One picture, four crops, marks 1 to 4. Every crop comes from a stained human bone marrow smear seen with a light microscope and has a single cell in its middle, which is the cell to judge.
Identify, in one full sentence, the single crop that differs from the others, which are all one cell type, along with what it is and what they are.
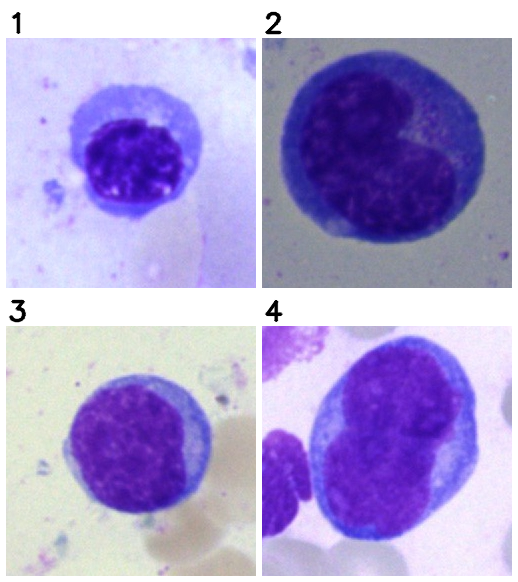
Crop 1 differs from its companions, showing an erythroblast where they show blasts.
